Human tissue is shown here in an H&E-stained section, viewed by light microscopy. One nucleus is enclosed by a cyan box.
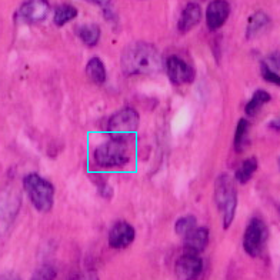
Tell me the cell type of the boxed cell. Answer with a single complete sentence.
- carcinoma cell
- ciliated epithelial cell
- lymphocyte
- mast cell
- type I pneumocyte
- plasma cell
The boxed cell appears to be a plasma cell.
